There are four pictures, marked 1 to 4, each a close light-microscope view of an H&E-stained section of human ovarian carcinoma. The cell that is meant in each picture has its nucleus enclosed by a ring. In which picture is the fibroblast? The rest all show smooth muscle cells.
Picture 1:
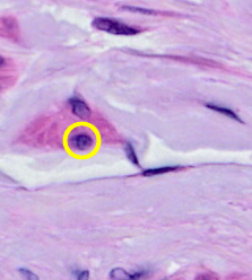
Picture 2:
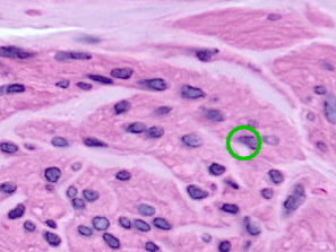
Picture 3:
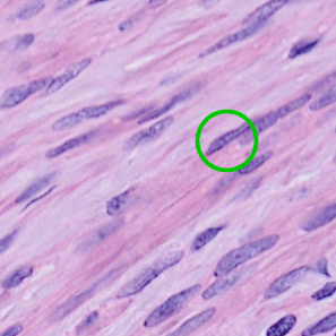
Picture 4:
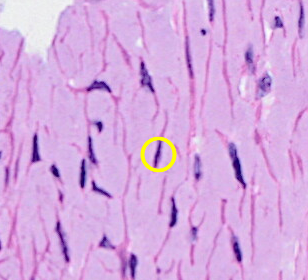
4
